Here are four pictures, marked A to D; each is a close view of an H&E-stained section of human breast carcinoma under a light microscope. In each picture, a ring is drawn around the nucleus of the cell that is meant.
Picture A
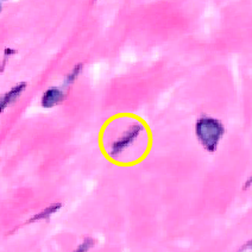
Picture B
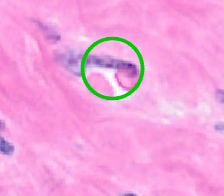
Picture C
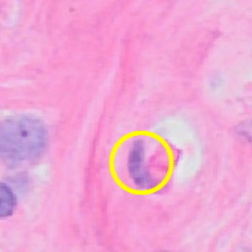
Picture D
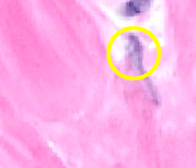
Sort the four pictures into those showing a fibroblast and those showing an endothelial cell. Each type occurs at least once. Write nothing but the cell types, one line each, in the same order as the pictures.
fibroblast
endothelial cell
endothelial cell
fibroblast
